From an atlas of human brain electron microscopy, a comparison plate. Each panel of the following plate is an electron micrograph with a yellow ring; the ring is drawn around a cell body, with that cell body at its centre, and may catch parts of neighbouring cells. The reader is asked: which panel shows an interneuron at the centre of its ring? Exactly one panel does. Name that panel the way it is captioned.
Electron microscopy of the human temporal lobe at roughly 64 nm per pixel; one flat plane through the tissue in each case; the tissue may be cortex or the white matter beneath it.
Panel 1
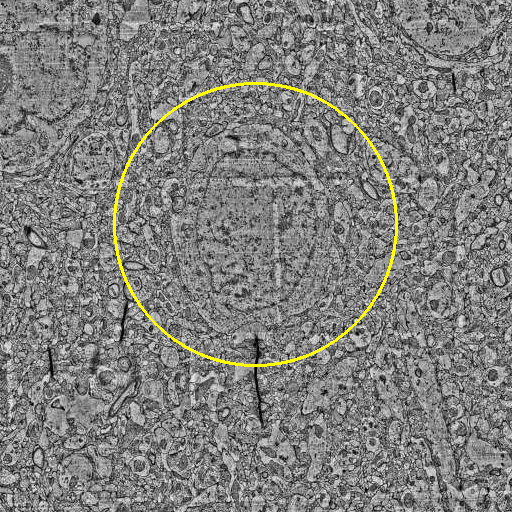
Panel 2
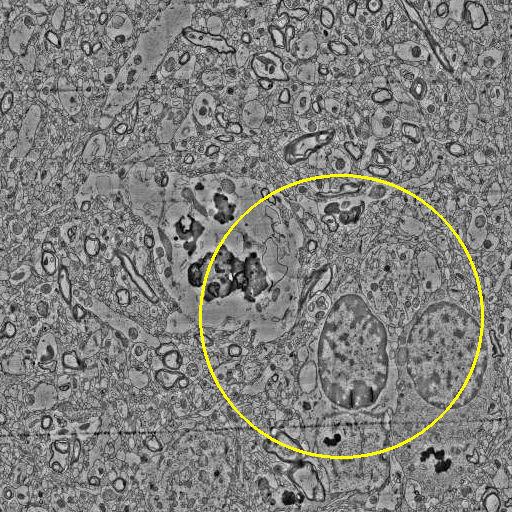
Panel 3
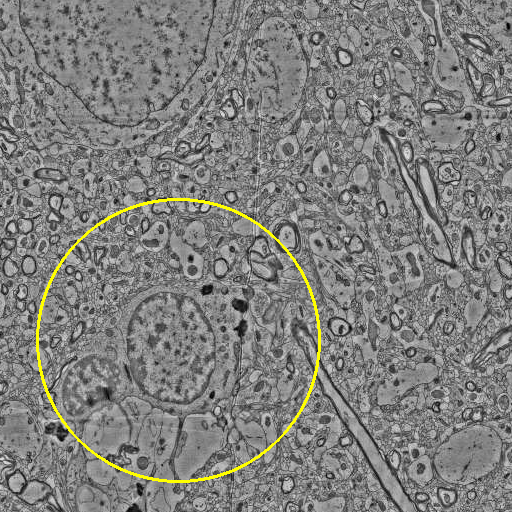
Panel 1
